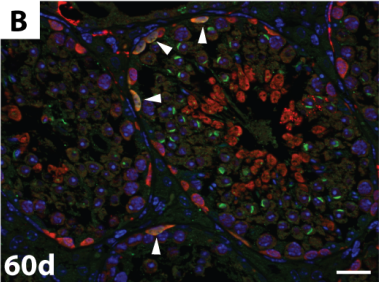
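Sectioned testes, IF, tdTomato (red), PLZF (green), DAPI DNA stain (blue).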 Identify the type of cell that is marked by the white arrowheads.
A: germ cells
